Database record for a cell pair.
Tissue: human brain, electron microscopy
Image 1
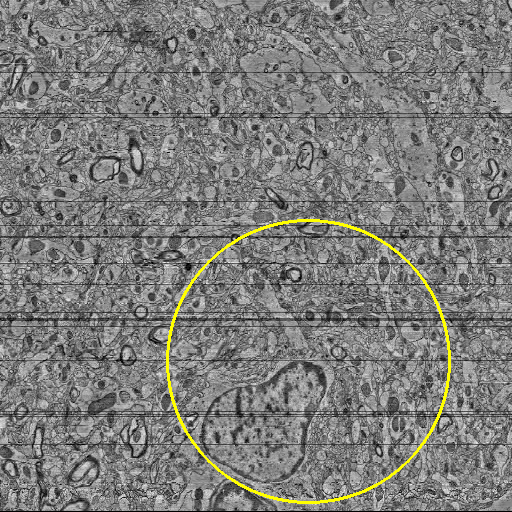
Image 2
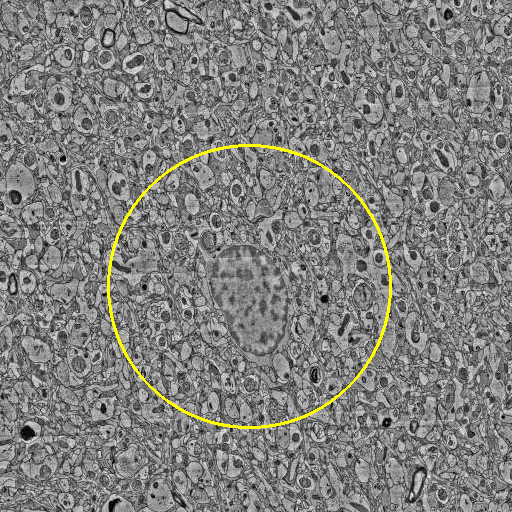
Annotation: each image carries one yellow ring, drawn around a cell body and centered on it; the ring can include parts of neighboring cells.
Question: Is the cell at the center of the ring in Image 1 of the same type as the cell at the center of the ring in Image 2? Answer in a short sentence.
No, the cells are of two types.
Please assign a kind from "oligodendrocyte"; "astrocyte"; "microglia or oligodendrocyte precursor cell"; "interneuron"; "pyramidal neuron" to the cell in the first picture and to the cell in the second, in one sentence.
In the first picture we have a microglial cell or oligodendrocyte precursor cell, and in the second, an oligodendrocyte.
